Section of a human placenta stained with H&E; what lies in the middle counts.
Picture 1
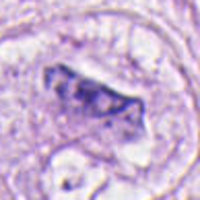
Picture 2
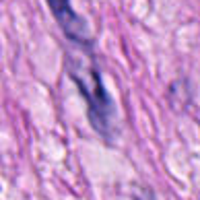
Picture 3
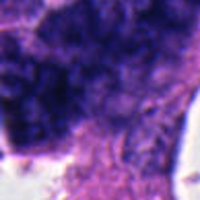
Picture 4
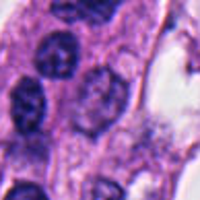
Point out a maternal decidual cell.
That is picture 1.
